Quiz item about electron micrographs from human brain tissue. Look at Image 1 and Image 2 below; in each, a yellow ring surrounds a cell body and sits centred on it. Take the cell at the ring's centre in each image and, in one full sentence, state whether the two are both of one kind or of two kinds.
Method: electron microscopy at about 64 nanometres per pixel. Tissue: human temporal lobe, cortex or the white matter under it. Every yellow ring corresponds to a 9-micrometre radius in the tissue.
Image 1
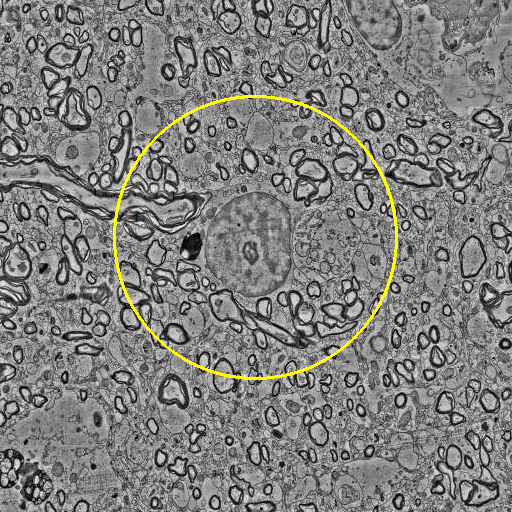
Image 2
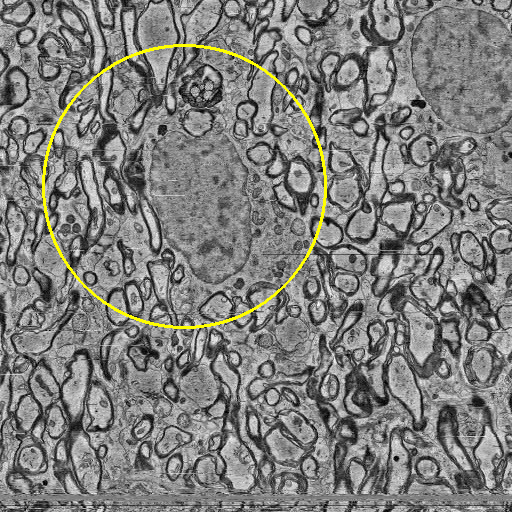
In Image 1 and Image 2, the cells at the ring centres are both of one kind.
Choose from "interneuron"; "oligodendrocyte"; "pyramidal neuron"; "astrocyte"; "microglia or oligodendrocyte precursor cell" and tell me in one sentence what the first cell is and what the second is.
Each of the two pictures has an oligodendrocyte at the ring centre.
